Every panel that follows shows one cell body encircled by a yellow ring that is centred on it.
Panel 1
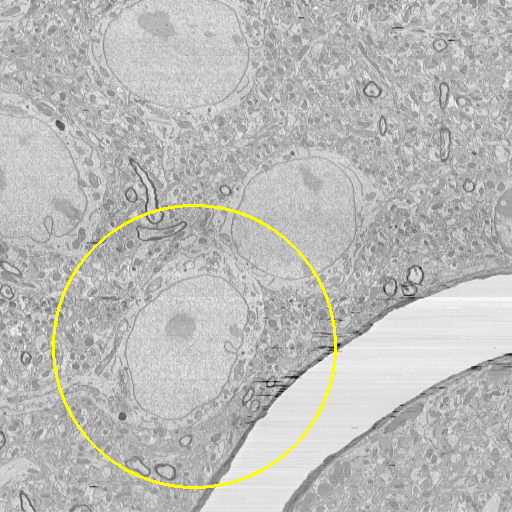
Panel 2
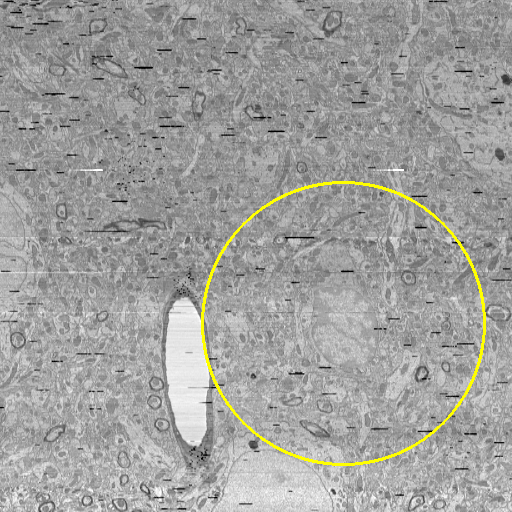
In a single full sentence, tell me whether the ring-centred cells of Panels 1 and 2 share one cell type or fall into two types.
In Panel 1 and Panel 2, the cells at the ring centres fall into two types.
